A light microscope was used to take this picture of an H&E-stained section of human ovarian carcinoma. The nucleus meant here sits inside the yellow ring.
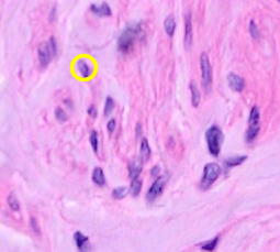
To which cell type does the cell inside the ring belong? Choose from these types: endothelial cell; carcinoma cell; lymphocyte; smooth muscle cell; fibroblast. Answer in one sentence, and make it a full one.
Recorded by type, the cell inside the ring is a smooth muscle cell.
